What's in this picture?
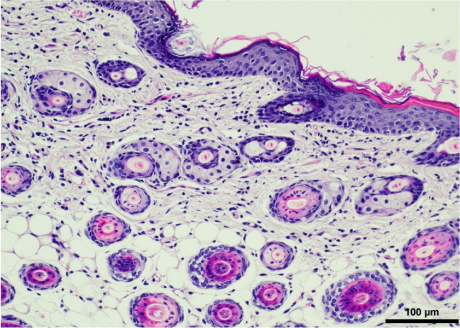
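A thin epidermis of a few cell layers with a pink surface layer covers a dermis crowded with round and oval cross-sections of hair follicles. Each follicle is a ring of purple-nucleated epithelial cells around a bright pink keratinized core, some with paler cells beside them. Between them lies loose pale connective tissue with scattered spindle nuclei, and at the lower left large empty fat cells with thin rims sit among the follicles.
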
